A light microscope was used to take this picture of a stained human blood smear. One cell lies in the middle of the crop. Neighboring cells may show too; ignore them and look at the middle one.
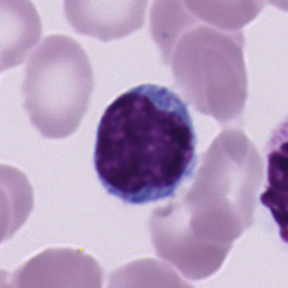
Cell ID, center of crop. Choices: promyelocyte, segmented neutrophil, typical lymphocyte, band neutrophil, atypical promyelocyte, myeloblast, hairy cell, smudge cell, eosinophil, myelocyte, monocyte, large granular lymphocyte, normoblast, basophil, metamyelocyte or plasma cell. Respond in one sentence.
To answer, the cell in the center of the crop is a typical lymphocyte.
